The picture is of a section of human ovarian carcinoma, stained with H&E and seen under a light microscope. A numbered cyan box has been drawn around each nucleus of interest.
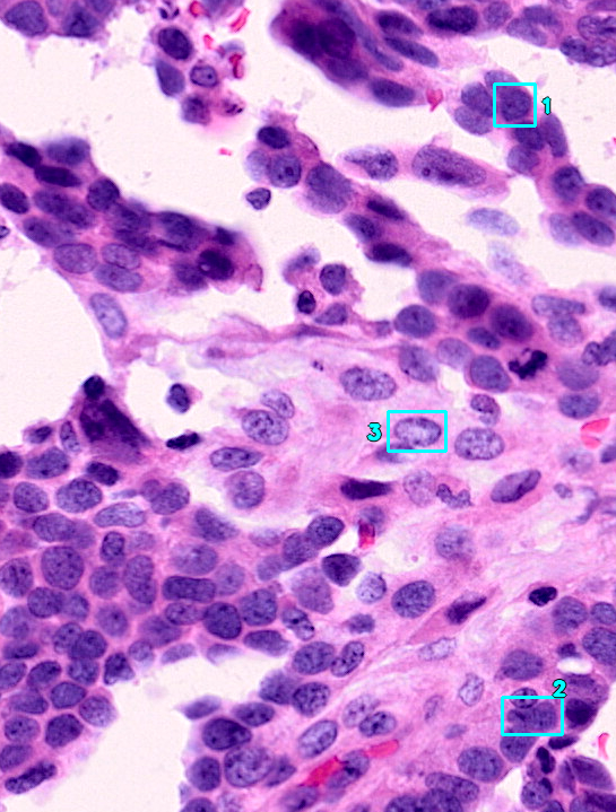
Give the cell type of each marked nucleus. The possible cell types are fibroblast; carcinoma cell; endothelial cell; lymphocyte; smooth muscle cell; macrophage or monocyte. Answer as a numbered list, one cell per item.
1. carcinoma cell
2. carcinoma cell
3. fibroblast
